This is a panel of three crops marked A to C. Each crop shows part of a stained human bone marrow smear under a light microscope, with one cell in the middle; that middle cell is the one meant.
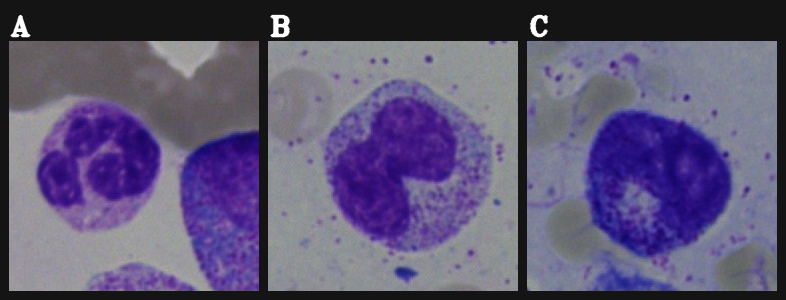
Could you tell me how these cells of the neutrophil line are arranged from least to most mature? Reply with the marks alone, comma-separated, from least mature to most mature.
C, B, A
